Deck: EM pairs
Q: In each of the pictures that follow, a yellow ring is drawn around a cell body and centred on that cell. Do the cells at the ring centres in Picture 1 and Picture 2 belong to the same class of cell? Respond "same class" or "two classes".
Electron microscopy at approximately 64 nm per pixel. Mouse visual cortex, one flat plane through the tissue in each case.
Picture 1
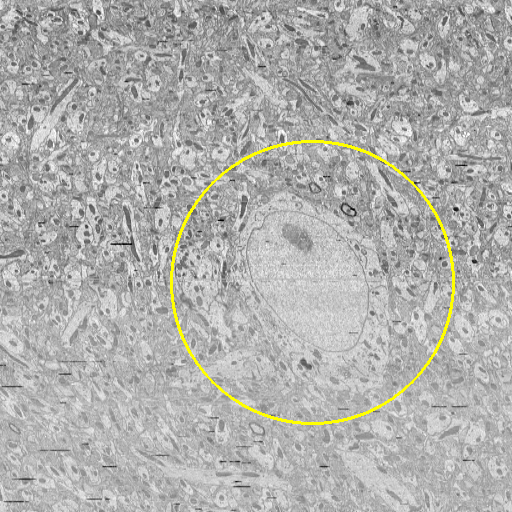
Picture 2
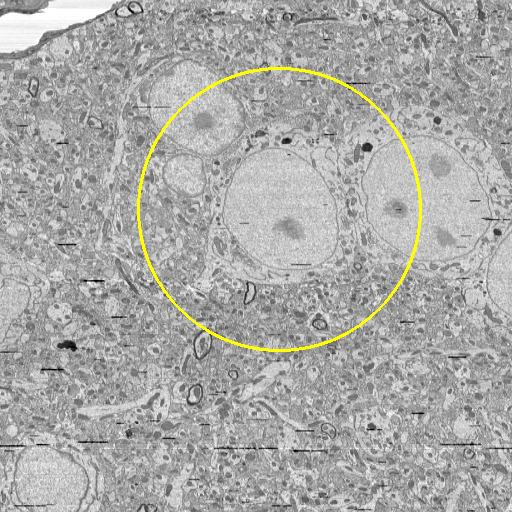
same class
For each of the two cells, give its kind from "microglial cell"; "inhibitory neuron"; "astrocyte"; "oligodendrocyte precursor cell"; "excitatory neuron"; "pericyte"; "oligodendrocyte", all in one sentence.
Both rings mark an excitatory neuron, one in each picture.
